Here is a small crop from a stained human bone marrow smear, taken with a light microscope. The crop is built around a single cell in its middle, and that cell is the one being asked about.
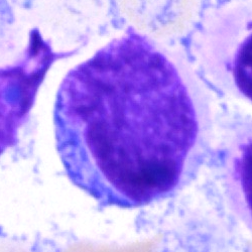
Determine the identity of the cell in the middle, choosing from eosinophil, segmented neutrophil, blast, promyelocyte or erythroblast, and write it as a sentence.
The middle position in this crop is taken by a blast.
